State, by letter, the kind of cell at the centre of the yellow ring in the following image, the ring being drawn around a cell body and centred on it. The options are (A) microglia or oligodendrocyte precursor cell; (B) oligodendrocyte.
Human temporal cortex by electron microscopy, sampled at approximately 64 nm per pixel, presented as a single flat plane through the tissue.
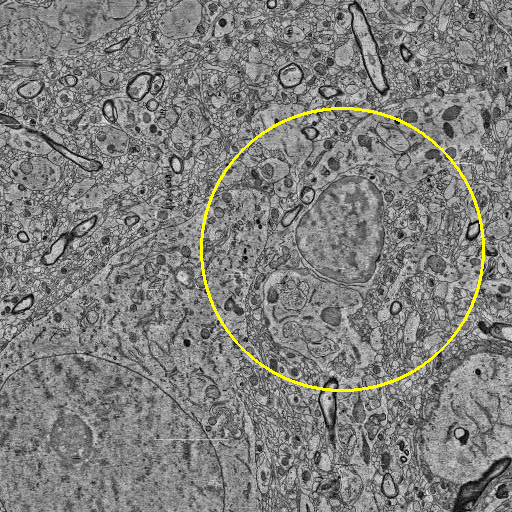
A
